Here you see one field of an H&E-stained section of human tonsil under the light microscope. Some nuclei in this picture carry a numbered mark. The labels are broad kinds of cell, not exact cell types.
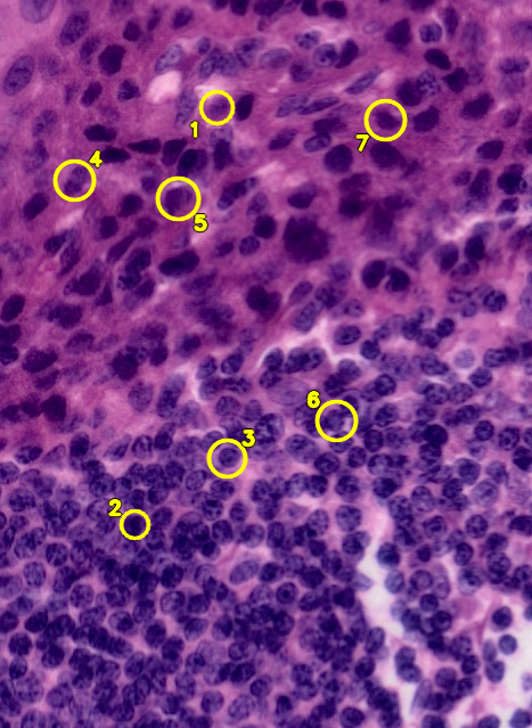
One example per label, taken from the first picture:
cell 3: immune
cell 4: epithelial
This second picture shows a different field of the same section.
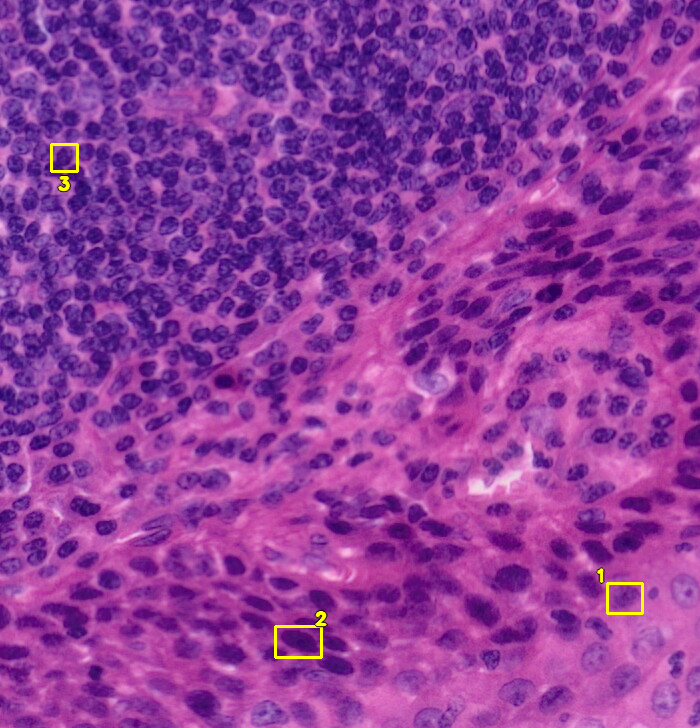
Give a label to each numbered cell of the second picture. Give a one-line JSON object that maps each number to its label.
{"1": "epithelial", "2": "epithelial", "3": "immune"}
